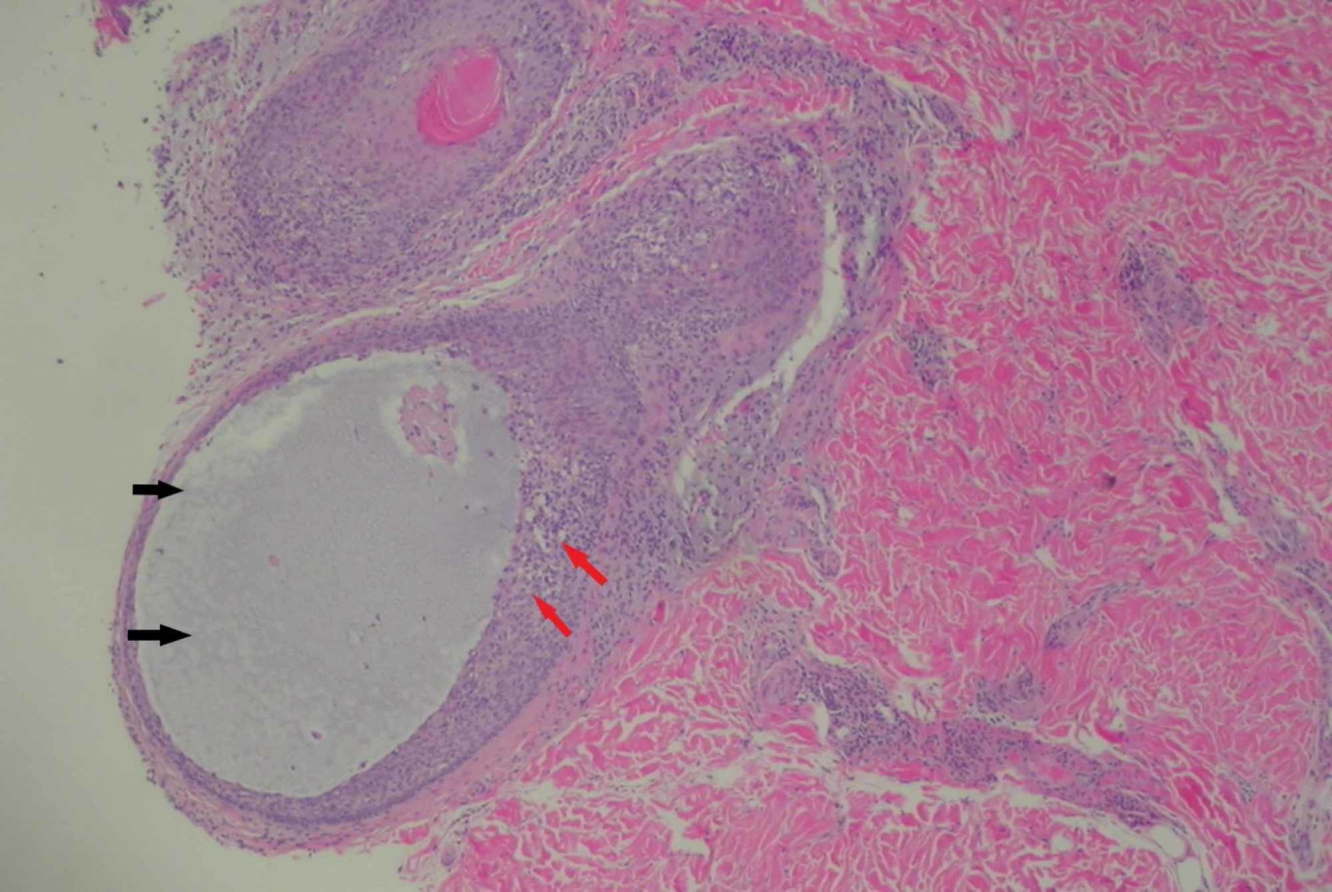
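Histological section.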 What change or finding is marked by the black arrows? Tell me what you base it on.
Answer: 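Mucin. A rounded cavity is filled with pale grey-blue, amorphous, nearly acellular material. The cavity is bounded by a thin rim of epithelium.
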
